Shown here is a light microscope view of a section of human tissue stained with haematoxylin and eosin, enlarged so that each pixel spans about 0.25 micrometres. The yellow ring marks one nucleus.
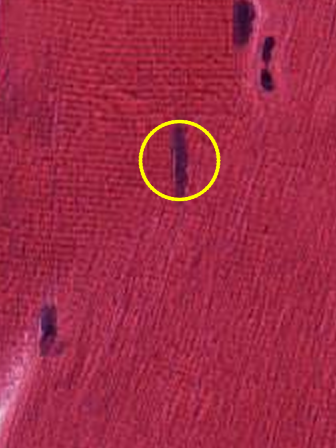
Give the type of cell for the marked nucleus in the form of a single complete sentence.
The owner of the marked nucleus is a skeletal muscle fibre.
